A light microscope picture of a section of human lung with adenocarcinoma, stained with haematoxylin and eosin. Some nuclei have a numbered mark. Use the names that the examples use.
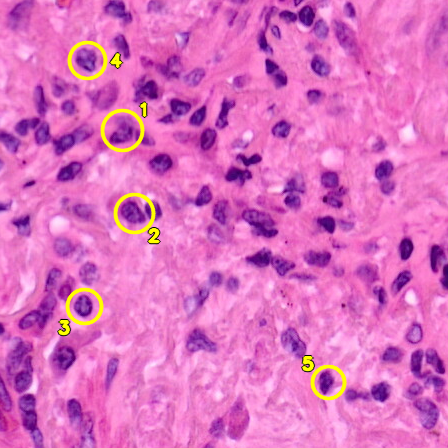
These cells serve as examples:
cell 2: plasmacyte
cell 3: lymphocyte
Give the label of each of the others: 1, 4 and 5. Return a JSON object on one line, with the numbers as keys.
{"1": "plasmacyte", "4": "lymphocyte", "5": "lymphocyte"}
